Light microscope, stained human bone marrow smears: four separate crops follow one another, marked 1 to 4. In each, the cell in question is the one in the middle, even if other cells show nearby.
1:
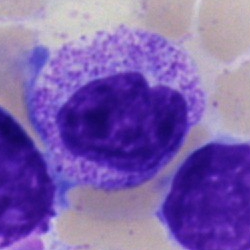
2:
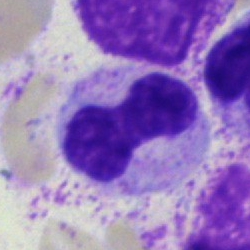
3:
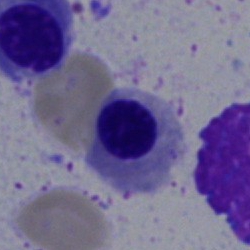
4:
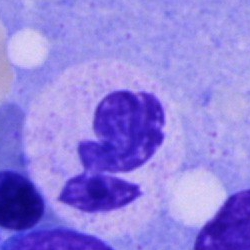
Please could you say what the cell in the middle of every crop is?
1: metamyelocyte
2: band neutrophil
3: erythroblast
4: segmented neutrophil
